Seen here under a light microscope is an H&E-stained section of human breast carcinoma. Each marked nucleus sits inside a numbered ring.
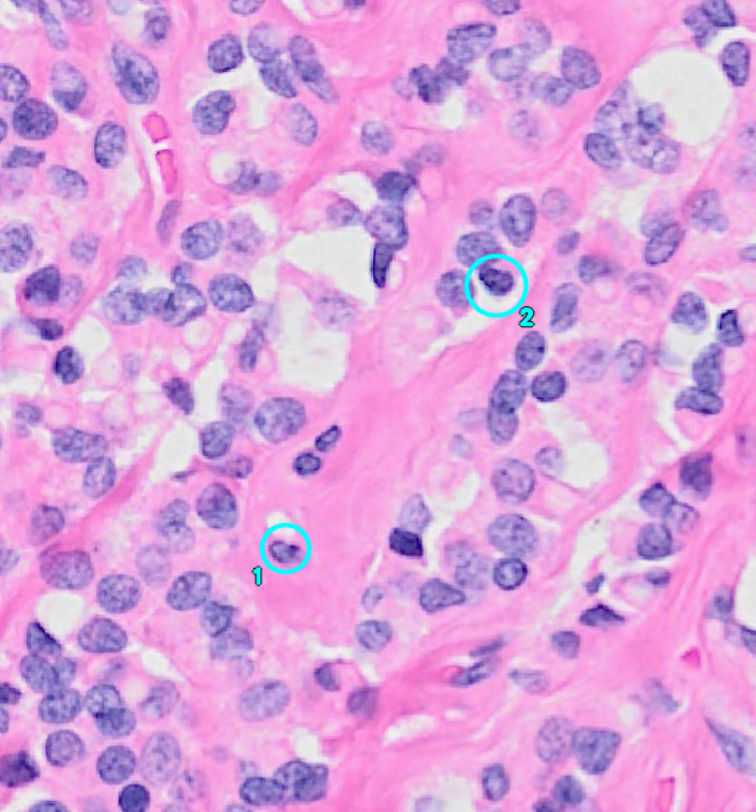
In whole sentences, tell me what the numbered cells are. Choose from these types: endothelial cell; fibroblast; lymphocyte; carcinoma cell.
Cell 1 is an endothelial cell and cell 2 is a carcinoma cell.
